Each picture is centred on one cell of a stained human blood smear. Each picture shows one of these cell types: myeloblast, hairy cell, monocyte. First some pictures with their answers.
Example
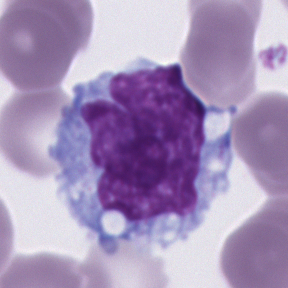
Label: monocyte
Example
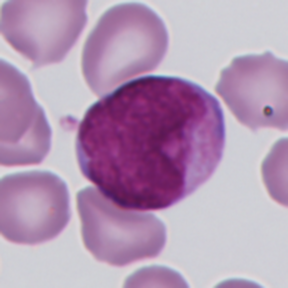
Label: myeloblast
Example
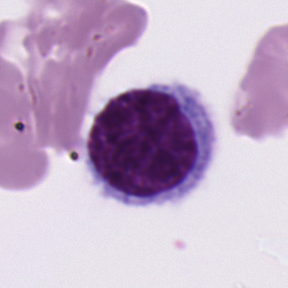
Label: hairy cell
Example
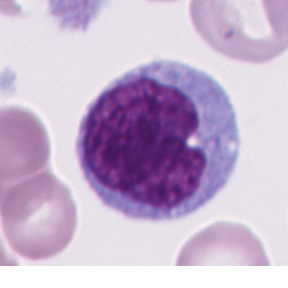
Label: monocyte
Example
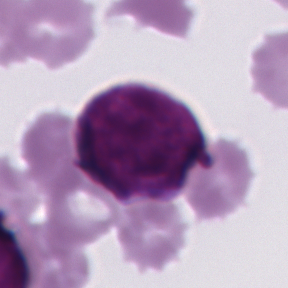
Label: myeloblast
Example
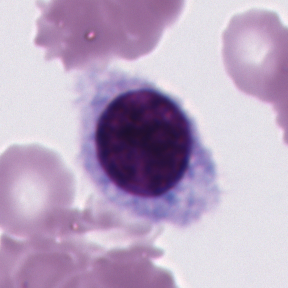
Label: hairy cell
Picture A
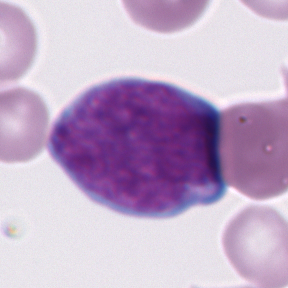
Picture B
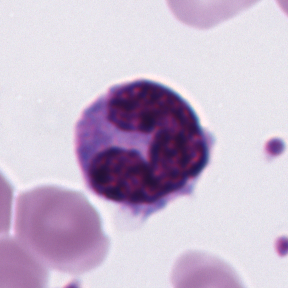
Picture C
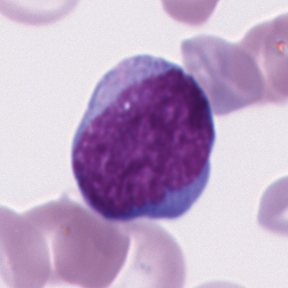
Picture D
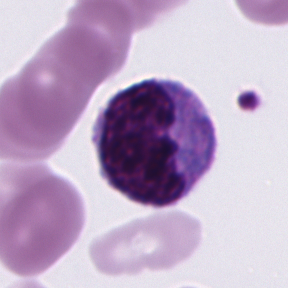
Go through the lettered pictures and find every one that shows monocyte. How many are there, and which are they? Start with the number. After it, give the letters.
2, namely B, D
